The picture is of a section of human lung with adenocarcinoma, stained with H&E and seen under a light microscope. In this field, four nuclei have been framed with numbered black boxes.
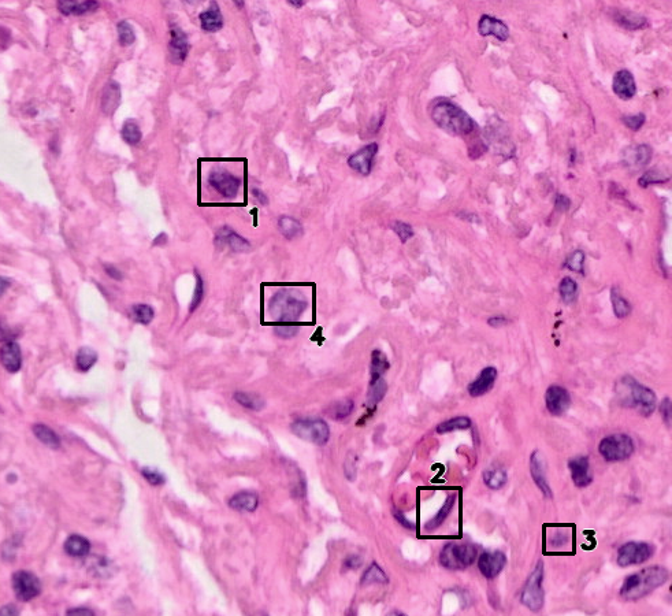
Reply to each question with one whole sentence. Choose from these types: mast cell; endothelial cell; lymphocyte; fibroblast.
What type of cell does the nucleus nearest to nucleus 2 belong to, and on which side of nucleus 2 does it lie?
Just to the left of nucleus 2 lies the nearest nucleus, which belongs to an endothelial cell.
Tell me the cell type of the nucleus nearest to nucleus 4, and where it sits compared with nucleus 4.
A mast cell lies closest, below nucleus 4.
